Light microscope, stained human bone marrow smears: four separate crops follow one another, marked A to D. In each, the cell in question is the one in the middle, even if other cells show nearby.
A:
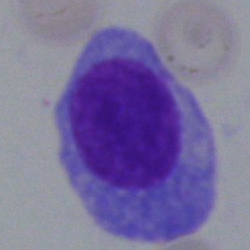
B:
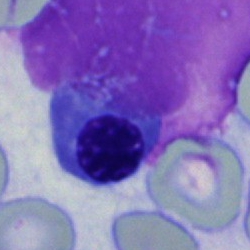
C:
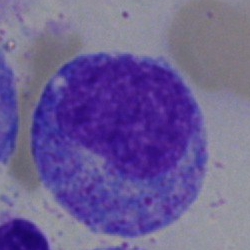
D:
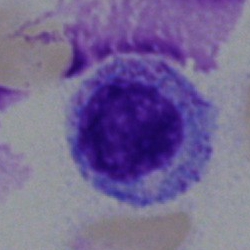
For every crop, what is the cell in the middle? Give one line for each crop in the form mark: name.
A: plasma cell
B: erythroblast
C: promyelocyte
D: myelocyte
